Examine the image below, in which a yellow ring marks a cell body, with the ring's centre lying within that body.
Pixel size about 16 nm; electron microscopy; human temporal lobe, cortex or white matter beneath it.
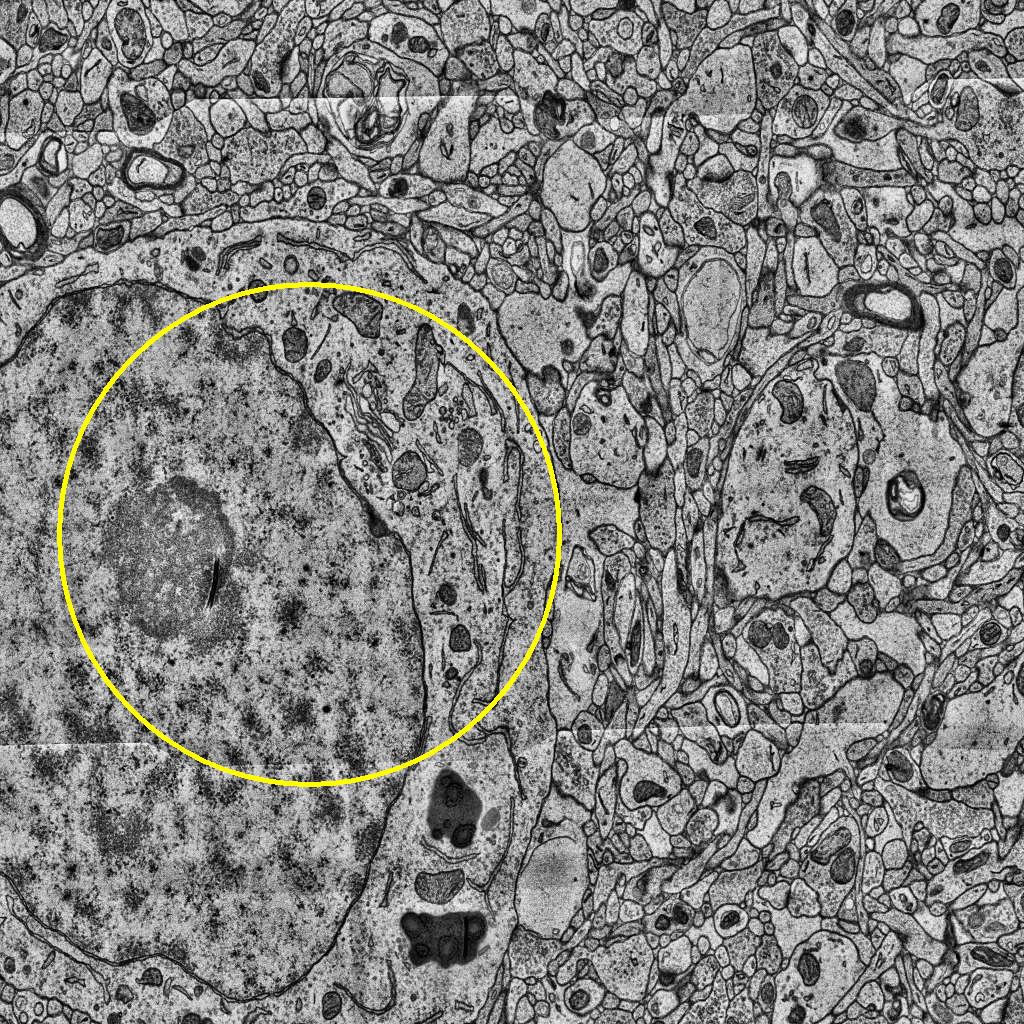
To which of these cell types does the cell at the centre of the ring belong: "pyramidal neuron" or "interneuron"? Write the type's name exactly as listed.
interneuron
